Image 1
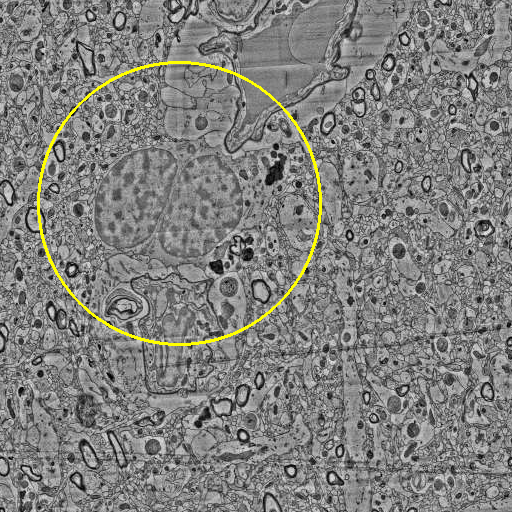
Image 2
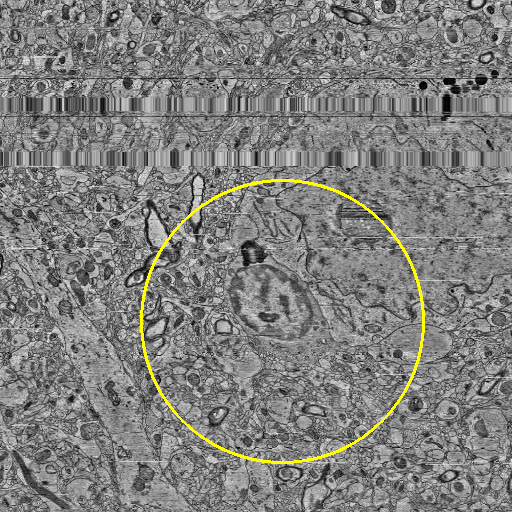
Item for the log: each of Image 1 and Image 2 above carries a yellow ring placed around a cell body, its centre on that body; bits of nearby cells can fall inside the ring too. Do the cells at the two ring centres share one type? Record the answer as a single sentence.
Yes, the two cells at the ring centres in Image 1 and Image 2 share one type.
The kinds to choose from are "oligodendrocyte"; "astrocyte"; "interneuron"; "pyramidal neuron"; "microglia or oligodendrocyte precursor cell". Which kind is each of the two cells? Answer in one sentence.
In the first picture and in the second, the ring is centred on an oligodendrocyte.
